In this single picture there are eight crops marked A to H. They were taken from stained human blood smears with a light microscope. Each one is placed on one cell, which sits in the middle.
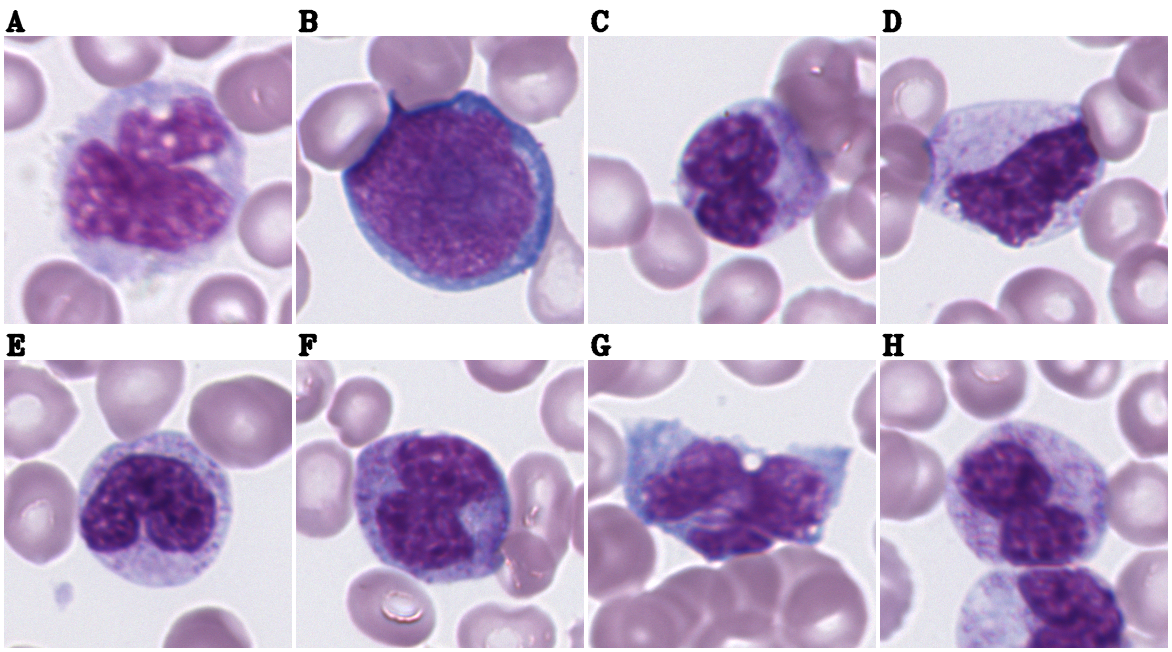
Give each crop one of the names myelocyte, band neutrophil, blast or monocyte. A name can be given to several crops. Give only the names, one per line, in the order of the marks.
monocyte
blast
monocyte
band neutrophil
band neutrophil
monocyte
monocyte
band neutrophil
